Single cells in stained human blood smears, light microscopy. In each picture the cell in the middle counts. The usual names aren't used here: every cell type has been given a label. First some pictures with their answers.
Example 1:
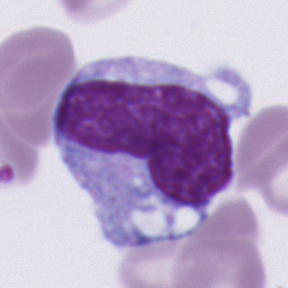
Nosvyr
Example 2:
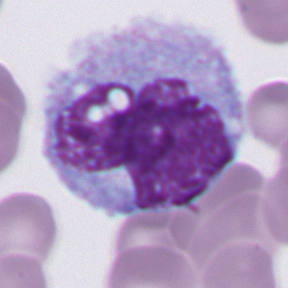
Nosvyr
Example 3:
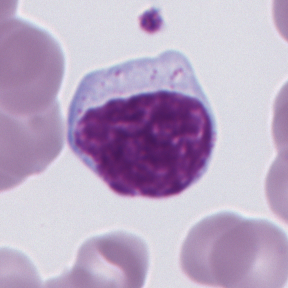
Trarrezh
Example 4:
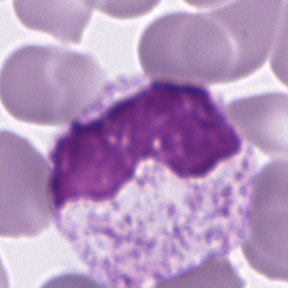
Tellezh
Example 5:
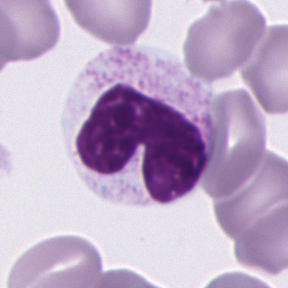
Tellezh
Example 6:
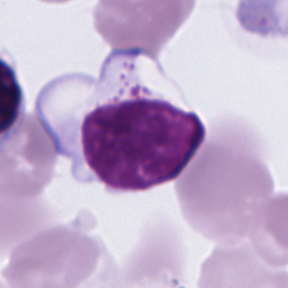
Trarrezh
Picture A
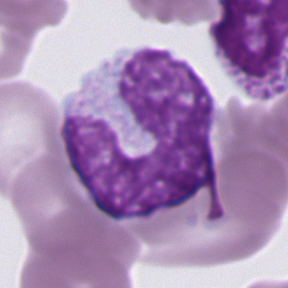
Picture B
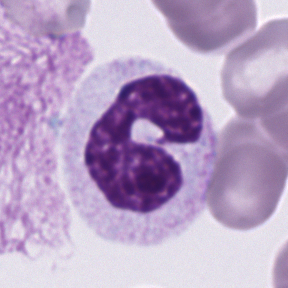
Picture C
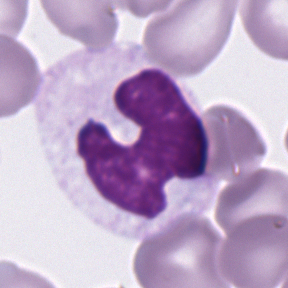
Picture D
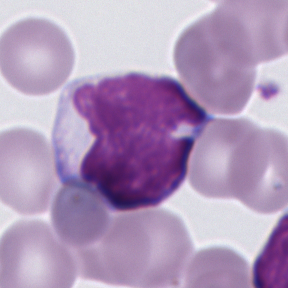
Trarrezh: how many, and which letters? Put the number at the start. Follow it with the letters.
1, namely D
